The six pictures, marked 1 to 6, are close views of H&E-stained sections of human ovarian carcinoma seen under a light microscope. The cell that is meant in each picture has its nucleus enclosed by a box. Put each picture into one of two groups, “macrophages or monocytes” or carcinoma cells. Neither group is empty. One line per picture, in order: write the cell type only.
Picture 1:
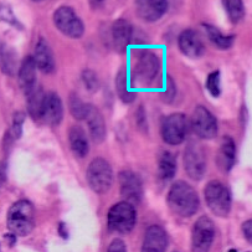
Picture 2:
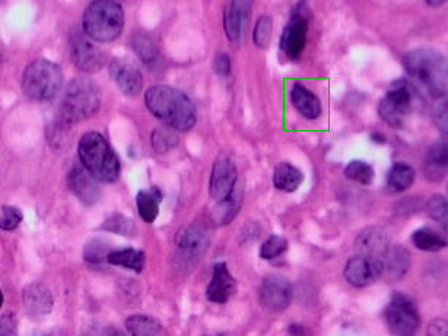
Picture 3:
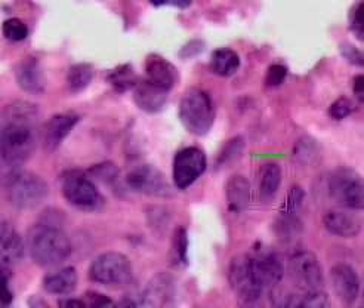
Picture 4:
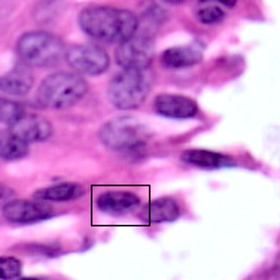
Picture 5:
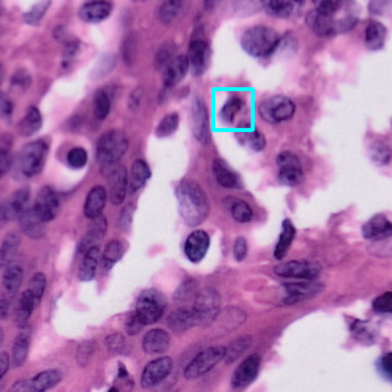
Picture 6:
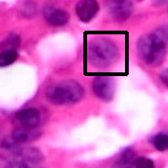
carcinoma cell
macrophage or monocyte
carcinoma cell
macrophage or monocyte
macrophage or monocyte
carcinoma cell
